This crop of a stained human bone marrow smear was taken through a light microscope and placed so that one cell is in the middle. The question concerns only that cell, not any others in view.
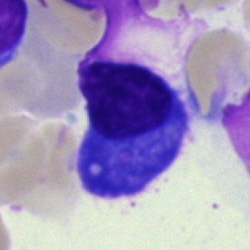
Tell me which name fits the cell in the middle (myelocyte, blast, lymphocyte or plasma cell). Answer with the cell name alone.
plasma cell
